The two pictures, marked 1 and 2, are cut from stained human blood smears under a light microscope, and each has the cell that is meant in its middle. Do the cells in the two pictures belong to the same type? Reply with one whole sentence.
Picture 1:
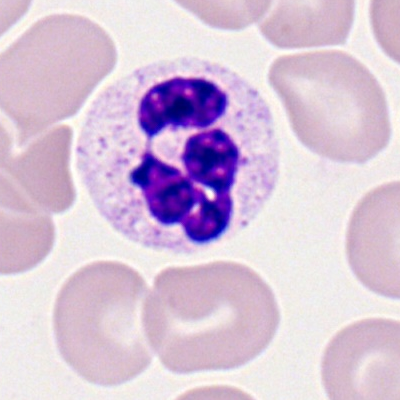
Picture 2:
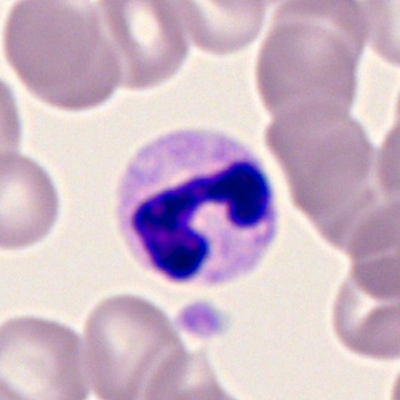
Yes, both cells are segmented neutrophils.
